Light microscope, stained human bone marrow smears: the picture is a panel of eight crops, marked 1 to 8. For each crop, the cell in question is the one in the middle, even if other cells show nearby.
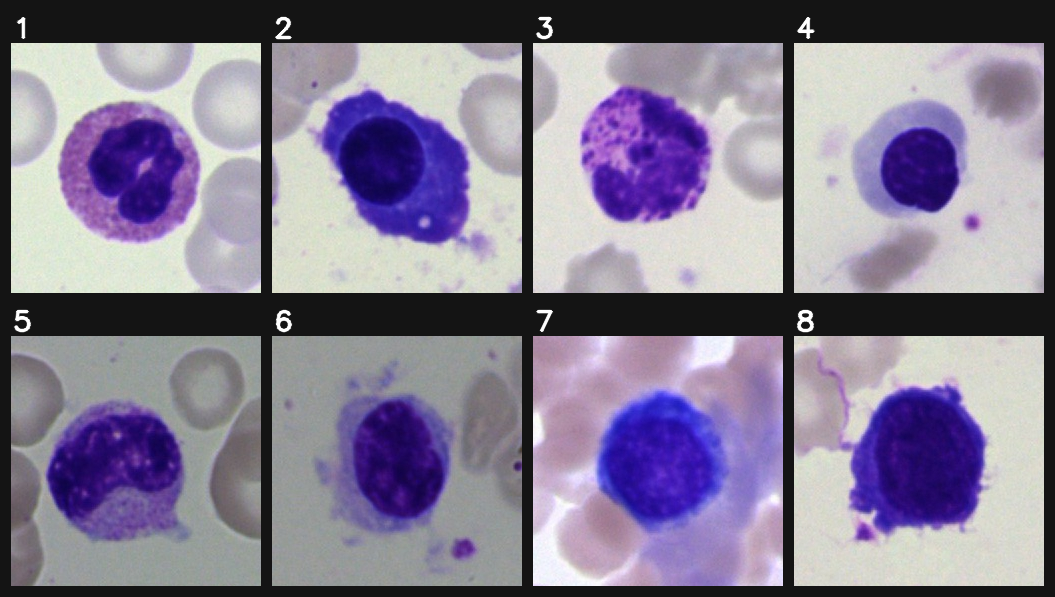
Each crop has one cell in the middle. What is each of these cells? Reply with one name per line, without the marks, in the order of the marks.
eosinophil
plasma cell
basophil
normoblast
metamyelocyte
hairy cell
normoblast
blast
